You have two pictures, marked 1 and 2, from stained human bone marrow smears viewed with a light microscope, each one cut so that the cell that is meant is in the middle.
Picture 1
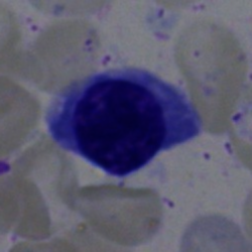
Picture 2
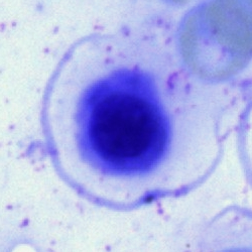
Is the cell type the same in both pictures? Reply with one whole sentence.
Yes; the cells in both pictures are erythroblasts.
